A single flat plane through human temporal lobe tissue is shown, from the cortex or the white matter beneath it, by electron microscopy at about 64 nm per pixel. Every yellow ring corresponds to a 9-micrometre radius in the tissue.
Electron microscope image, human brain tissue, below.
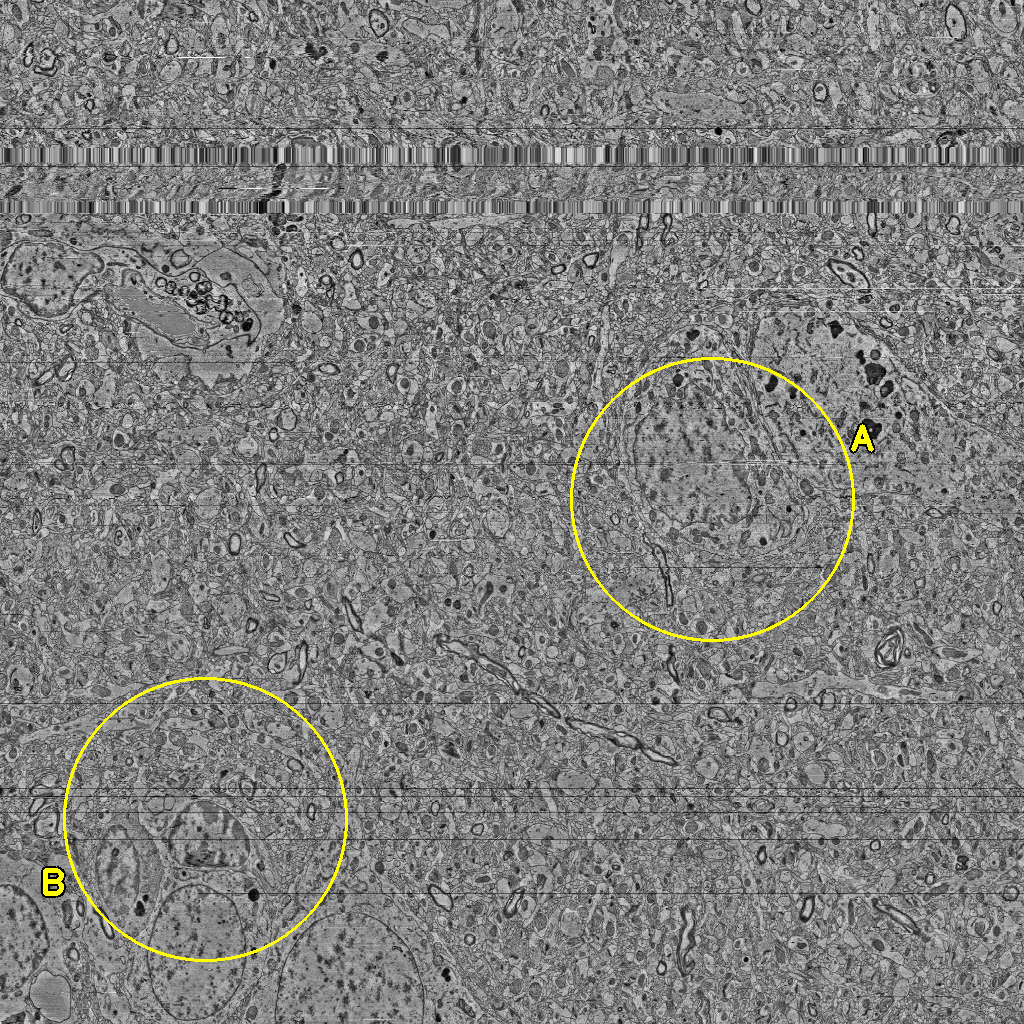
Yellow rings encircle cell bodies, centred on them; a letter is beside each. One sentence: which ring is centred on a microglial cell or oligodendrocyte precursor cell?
It is ring B.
